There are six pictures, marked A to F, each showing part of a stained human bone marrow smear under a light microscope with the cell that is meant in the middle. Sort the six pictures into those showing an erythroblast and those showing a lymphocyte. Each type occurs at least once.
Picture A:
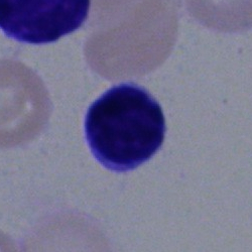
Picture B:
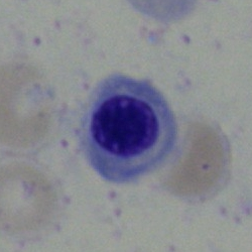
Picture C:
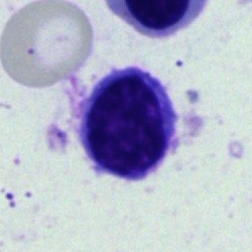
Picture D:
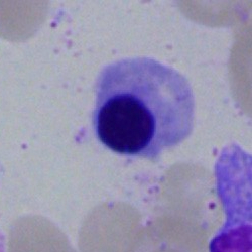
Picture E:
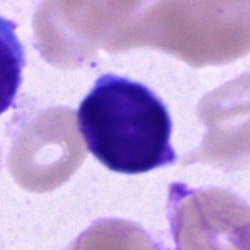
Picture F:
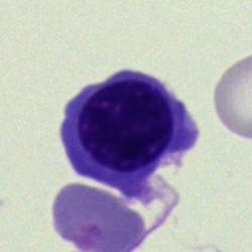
A: lymphocyte
B: erythroblast
C: lymphocyte
D: erythroblast
E: lymphocyte
F: erythroblast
